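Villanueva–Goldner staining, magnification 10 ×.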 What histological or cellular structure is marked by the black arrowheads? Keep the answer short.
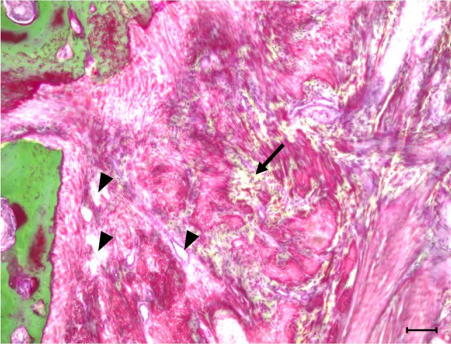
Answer: blood vessels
